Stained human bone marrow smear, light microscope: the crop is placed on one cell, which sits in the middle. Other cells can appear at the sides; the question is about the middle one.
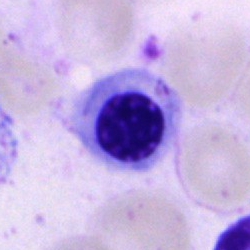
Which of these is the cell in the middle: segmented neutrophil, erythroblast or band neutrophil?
erythroblast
